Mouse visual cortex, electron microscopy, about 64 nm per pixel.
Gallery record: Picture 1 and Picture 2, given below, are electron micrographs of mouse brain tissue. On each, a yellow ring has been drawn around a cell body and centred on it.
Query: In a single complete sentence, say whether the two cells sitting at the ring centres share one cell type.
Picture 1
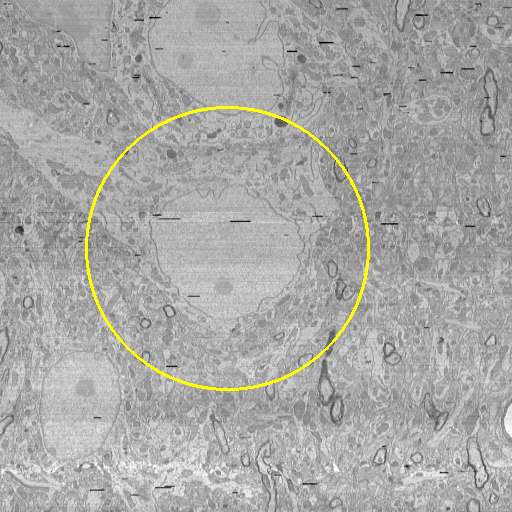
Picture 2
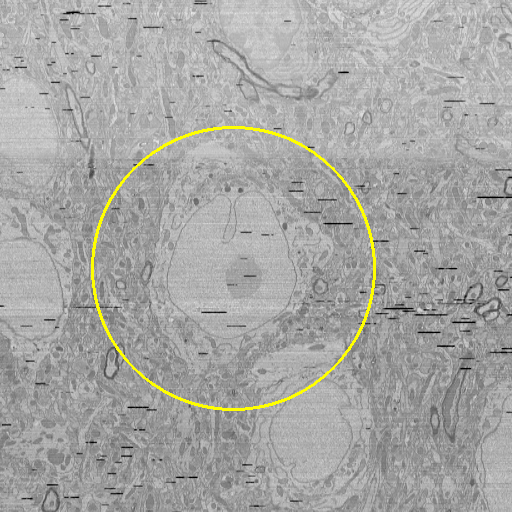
Yes, in both pictures the cell at the ring's centre is of one and the same type.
